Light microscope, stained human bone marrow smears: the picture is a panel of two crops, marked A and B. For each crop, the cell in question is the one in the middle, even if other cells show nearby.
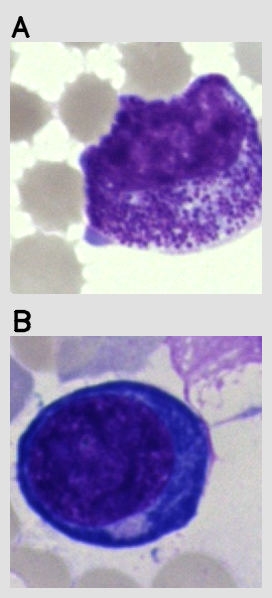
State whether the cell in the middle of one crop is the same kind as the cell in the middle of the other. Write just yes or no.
no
